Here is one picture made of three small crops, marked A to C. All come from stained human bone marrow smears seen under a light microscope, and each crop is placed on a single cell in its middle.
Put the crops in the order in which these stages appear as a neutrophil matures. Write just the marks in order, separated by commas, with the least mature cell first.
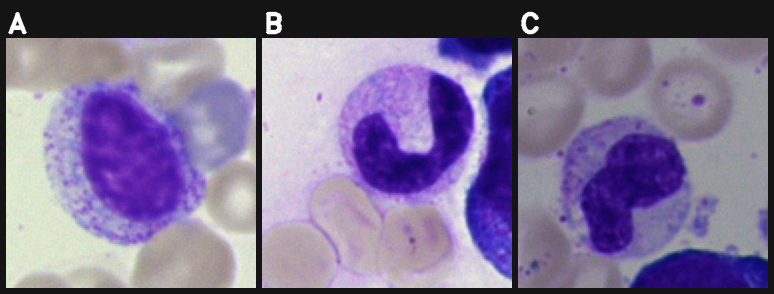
A, C, B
